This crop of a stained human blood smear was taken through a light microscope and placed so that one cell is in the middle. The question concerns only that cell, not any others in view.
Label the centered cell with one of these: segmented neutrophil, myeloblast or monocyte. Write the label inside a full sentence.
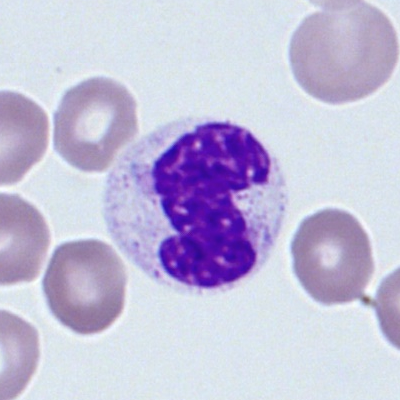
The middle cell in this particular crop is a segmented neutrophil.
